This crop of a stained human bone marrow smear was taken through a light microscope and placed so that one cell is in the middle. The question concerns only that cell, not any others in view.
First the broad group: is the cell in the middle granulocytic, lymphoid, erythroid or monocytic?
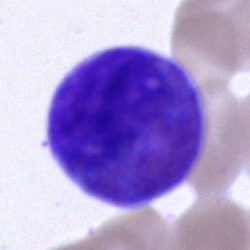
granulocytic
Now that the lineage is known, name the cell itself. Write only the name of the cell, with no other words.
eosinophil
